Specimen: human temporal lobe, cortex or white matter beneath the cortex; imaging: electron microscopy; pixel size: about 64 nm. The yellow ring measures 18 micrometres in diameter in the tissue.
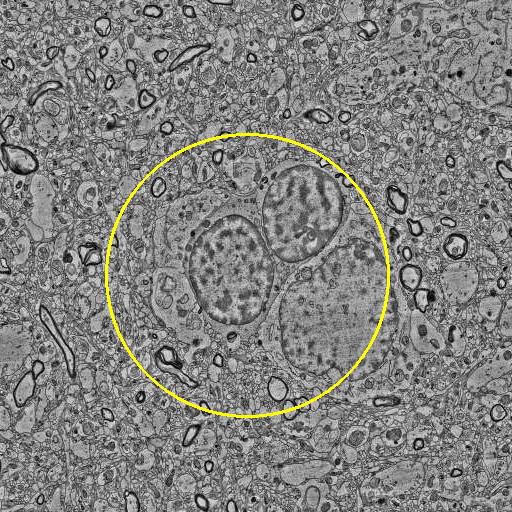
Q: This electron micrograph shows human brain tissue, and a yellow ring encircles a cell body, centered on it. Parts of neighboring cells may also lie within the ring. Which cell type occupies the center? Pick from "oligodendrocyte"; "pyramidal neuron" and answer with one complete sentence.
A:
What sits at the ring's center in this micrograph is an oligodendrocyte, among those choices.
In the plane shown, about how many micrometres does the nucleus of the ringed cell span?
In this plane, the nucleus of the cell at the centre of the ring measures about 7 by 5 micrometres.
